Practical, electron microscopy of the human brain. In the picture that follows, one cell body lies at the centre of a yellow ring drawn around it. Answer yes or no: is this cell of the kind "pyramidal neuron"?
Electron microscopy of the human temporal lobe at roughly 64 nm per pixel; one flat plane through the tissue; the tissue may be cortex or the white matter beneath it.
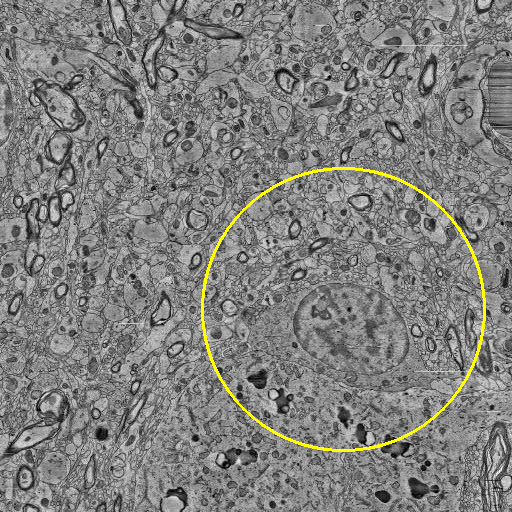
no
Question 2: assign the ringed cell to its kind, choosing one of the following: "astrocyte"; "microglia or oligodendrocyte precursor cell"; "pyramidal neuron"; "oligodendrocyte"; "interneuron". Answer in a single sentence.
Instead, what sits at the centre of the ring is an oligodendrocyte.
